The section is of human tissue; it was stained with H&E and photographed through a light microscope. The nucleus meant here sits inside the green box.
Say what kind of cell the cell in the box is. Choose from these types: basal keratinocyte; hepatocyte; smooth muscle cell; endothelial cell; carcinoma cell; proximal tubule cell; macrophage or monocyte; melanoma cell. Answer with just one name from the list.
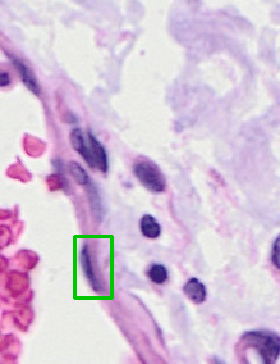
endothelial cell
